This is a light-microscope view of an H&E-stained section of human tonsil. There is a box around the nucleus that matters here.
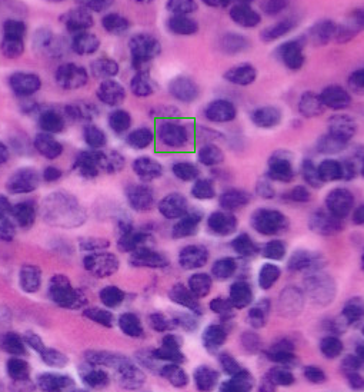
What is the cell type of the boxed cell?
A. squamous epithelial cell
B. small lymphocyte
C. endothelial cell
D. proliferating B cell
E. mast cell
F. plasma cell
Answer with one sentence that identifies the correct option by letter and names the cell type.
In this case the boxed cell is a plasma cell, so option F is correct.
